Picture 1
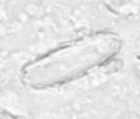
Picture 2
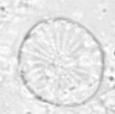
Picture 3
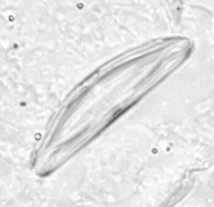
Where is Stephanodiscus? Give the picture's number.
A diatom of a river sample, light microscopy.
2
